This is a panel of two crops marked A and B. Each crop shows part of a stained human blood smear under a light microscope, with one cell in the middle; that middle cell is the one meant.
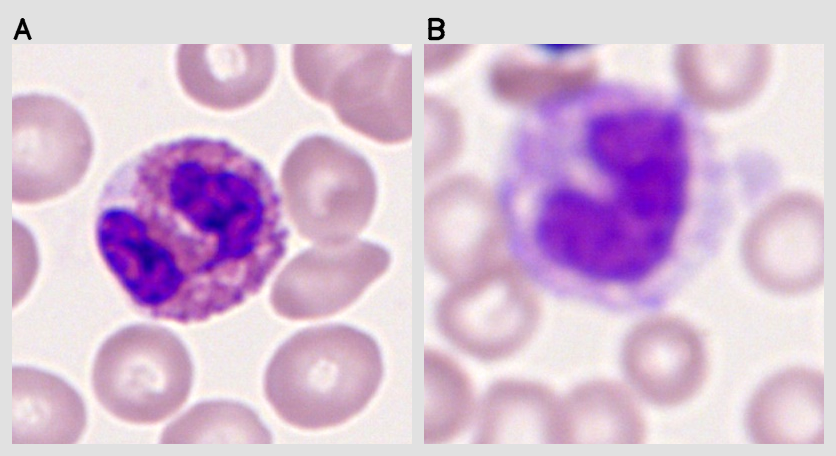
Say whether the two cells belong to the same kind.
no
